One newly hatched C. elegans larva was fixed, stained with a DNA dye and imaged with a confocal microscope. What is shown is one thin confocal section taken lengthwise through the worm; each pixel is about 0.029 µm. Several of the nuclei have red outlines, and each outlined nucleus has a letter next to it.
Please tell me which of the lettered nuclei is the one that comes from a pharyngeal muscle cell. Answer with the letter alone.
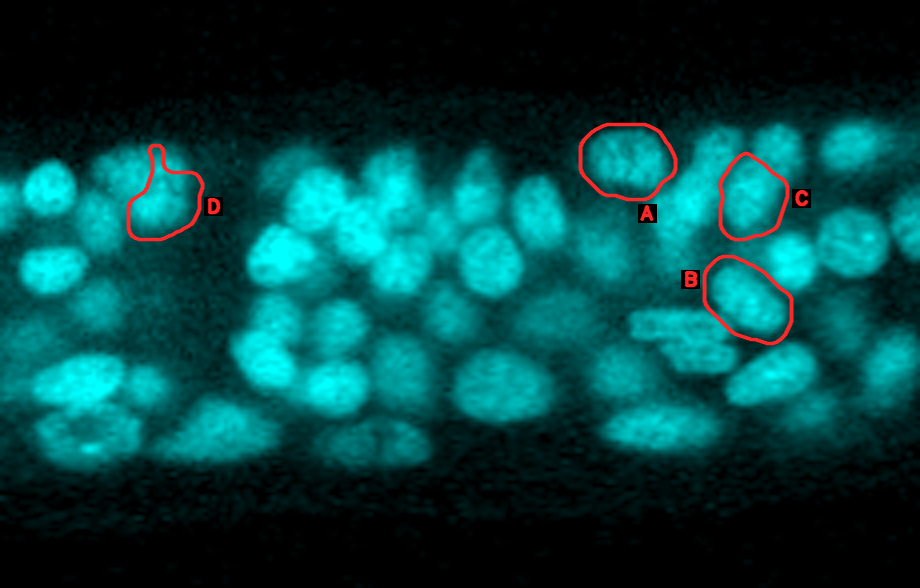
B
